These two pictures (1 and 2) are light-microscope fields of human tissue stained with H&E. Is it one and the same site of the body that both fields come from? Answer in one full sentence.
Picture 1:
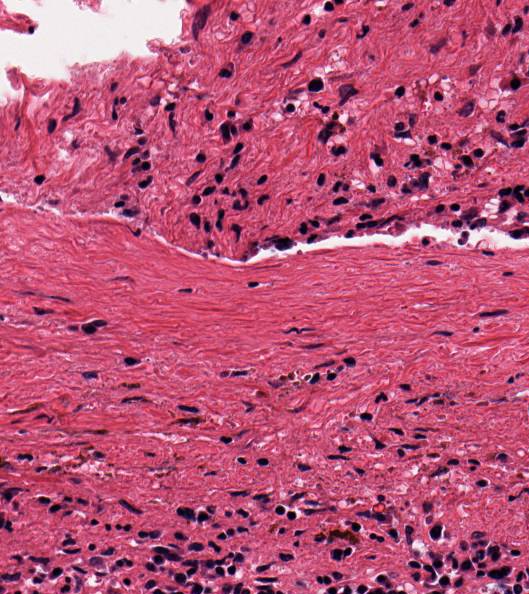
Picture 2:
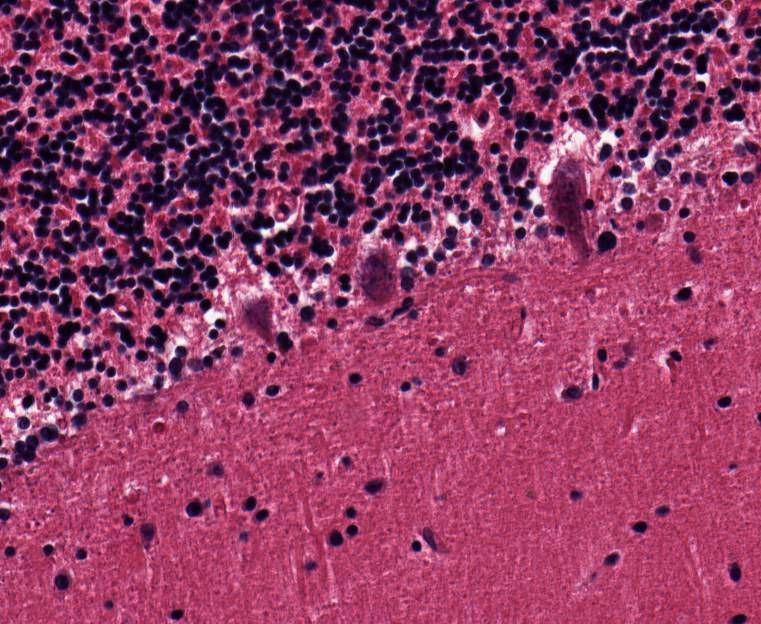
No. Picture 1 comes from the spleen, whereas picture 2 comes from the cerebellum.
